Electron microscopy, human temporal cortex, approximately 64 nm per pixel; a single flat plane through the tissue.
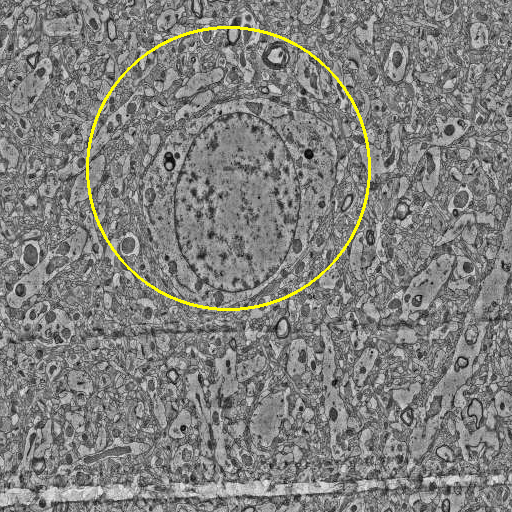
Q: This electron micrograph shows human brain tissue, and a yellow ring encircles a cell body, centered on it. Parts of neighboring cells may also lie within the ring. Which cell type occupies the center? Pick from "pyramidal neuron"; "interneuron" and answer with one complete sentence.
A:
What sits at the ring's center in this micrograph is a pyramidal neuron, among those choices.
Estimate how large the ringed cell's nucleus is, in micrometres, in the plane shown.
The nucleus measures about 11 by 8 micrometres in this plane.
